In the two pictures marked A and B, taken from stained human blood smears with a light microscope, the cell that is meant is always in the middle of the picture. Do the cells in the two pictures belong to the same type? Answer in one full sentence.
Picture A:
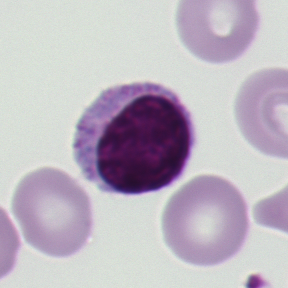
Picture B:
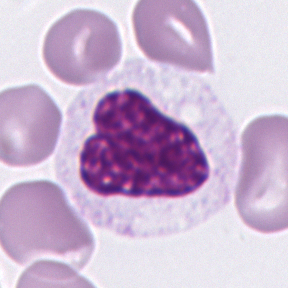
No, the types are not the same, since picture A shows a large granular lymphocyte and picture B a band neutrophil.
